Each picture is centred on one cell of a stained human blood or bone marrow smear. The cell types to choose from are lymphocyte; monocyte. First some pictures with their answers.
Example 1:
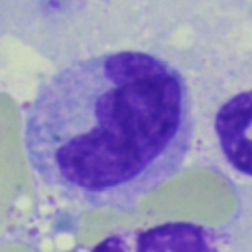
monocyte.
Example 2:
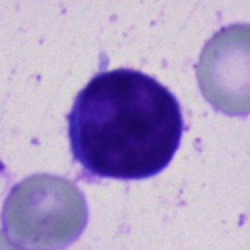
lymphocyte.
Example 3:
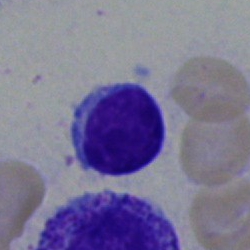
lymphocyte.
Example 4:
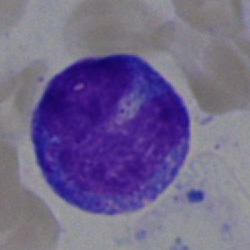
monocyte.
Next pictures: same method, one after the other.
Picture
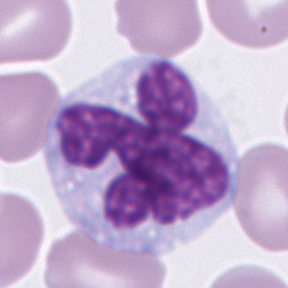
monocyte.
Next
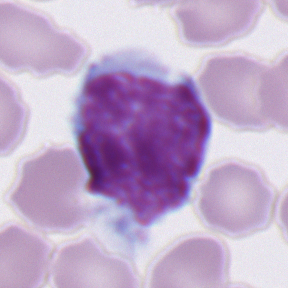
lymphocyte.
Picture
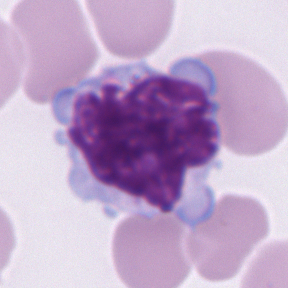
monocyte.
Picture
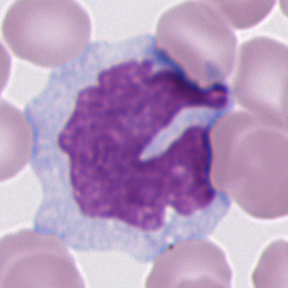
monocyte.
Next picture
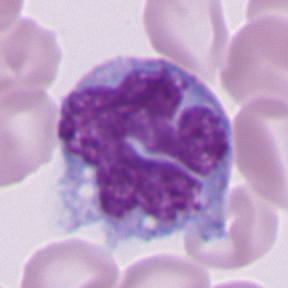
monocyte.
